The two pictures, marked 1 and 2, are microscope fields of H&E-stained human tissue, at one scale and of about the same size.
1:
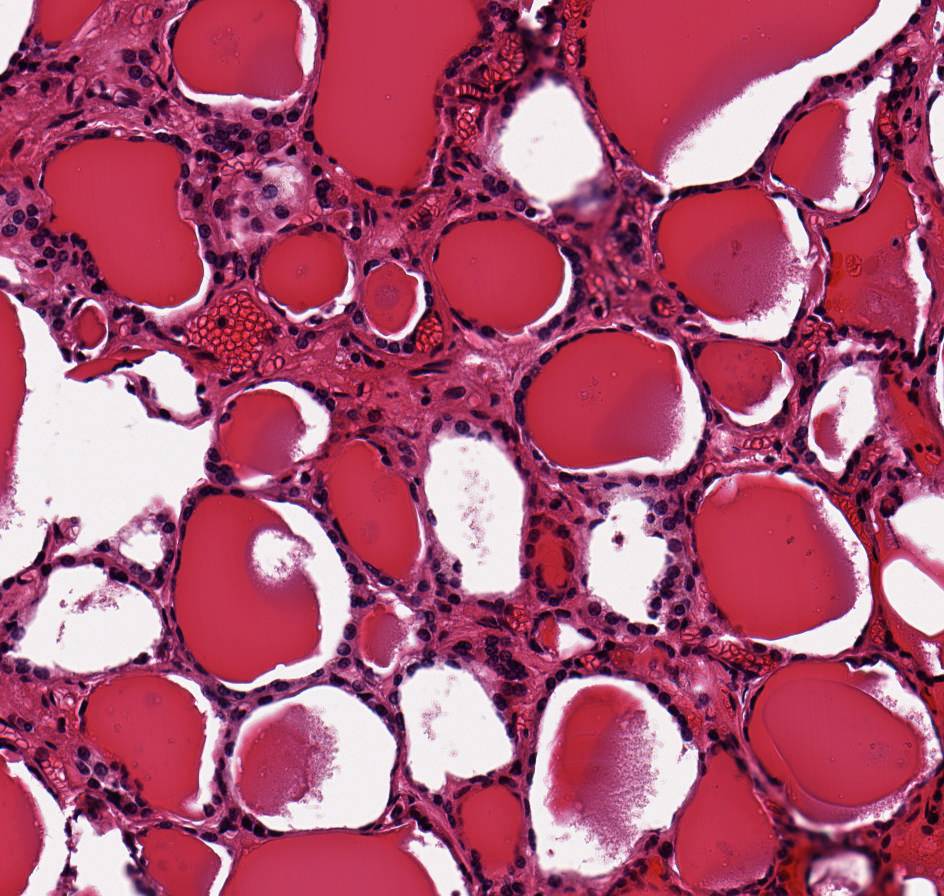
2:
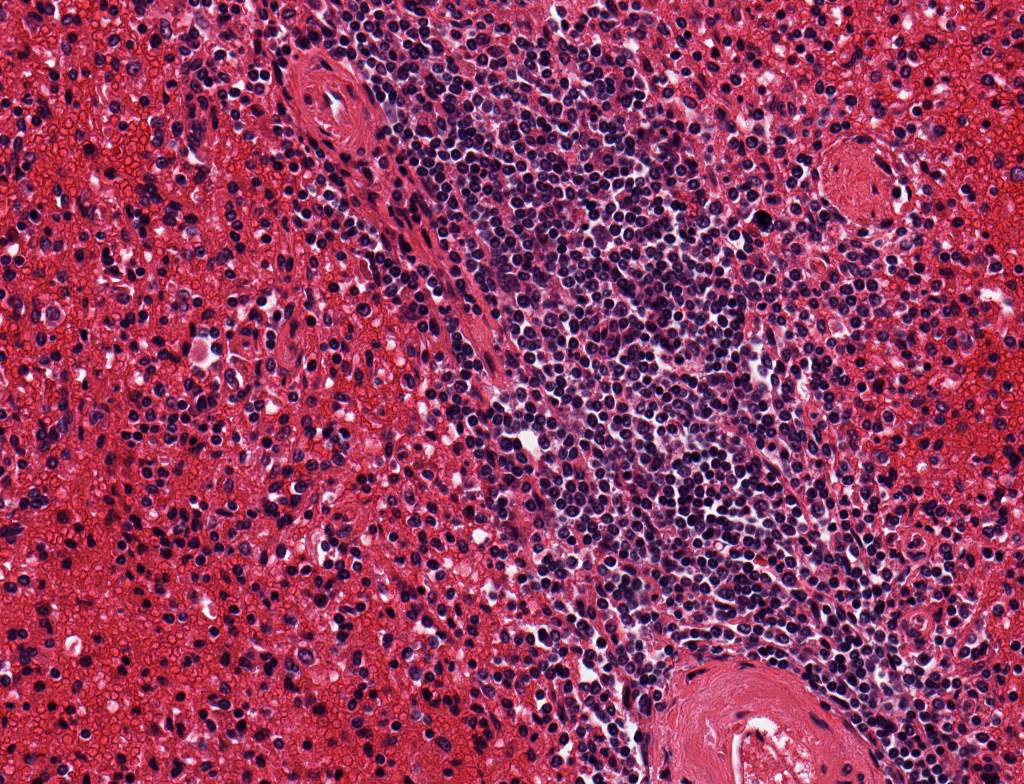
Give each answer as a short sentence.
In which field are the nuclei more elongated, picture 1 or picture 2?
The nuclei are more elongated in picture 1.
